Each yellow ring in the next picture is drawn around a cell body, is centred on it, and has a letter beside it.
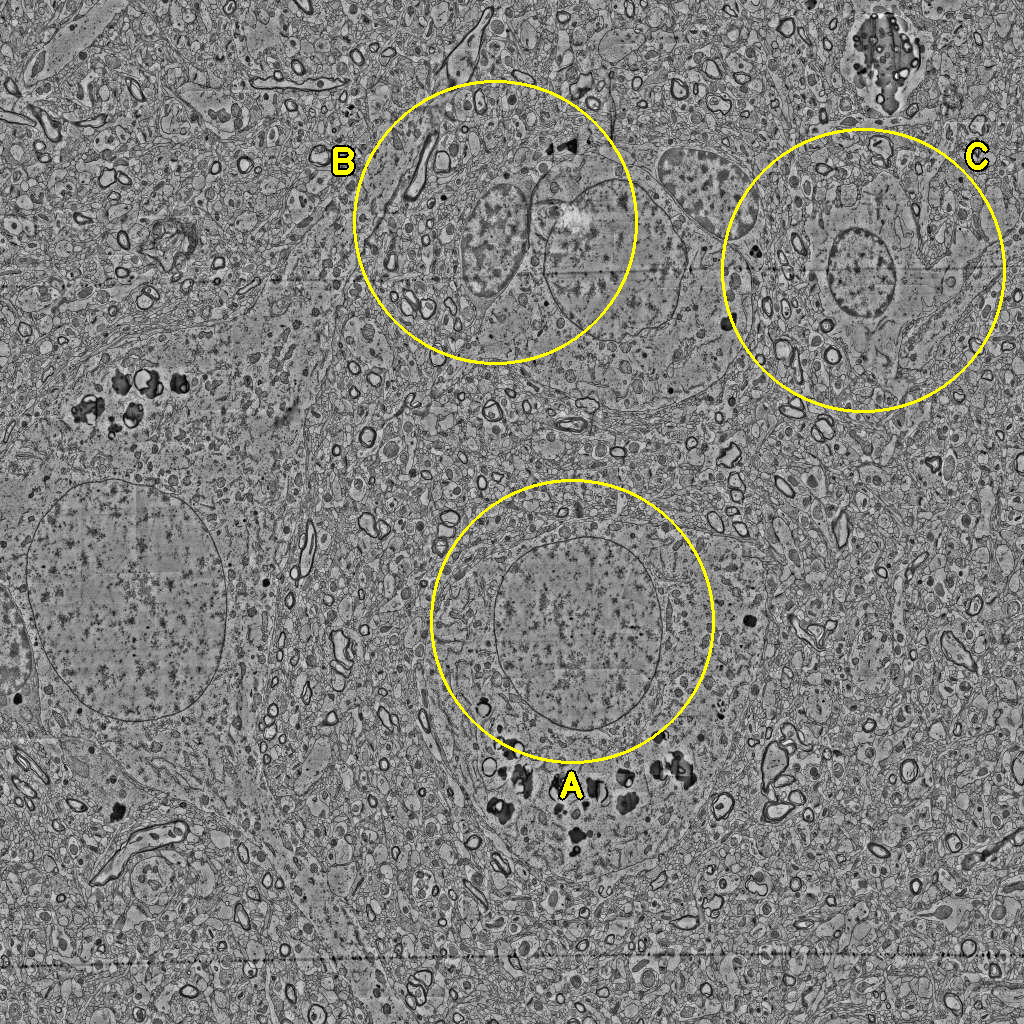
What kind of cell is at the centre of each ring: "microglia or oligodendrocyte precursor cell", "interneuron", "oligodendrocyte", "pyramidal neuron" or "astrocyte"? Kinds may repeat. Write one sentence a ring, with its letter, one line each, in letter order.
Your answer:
The centre of ring A falls on a pyramidal neuron.
The centre of ring B falls on an oligodendrocyte.
The centre of ring C falls on an astrocyte.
